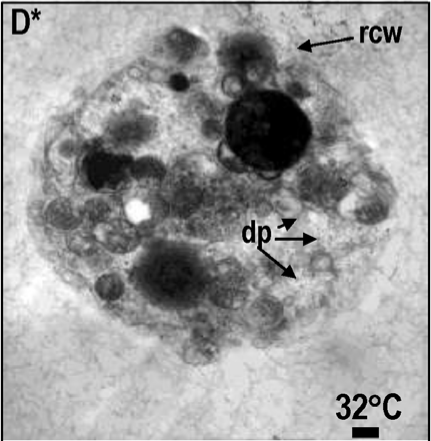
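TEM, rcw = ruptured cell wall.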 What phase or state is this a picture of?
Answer: Necrosis.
